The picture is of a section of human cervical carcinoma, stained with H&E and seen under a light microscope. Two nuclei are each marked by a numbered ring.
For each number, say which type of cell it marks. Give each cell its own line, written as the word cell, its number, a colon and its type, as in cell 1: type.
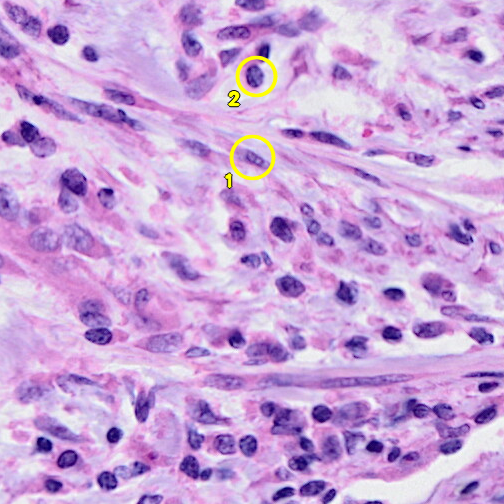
cell 1: fibroblast
cell 2: lymphocyte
